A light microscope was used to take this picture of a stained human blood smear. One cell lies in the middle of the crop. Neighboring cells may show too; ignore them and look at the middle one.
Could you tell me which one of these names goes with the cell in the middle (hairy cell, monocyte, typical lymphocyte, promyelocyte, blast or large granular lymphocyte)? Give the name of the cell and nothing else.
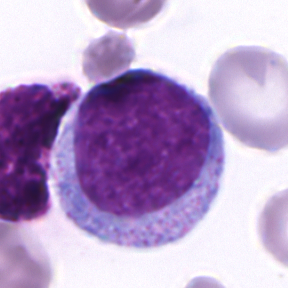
promyelocyte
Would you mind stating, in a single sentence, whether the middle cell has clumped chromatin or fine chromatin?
Check the chromatin: it is fine and not coarsely clumped.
